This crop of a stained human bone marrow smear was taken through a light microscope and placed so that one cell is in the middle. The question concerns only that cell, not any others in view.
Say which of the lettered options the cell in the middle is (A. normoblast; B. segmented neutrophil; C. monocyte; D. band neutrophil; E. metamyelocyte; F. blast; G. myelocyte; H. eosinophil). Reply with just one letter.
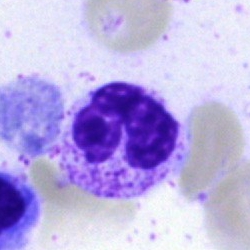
B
